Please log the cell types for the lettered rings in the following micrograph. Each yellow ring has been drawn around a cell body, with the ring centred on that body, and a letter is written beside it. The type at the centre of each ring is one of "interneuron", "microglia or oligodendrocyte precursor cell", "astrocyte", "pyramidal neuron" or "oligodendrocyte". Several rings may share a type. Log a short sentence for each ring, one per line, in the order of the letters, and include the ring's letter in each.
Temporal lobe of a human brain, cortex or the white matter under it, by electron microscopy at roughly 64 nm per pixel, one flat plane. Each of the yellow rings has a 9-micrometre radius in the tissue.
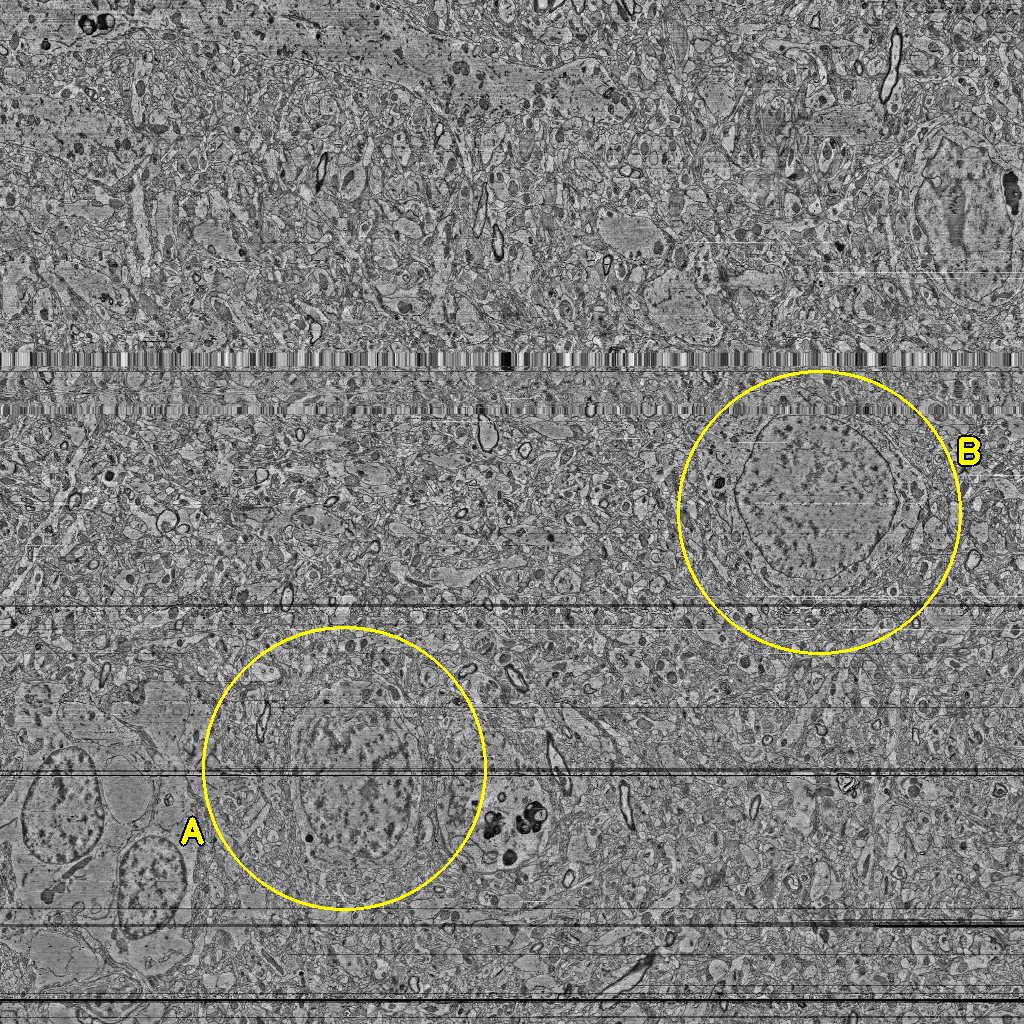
In ring A the central cell is an interneuron.
In ring B the central cell is a pyramidal neuron.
